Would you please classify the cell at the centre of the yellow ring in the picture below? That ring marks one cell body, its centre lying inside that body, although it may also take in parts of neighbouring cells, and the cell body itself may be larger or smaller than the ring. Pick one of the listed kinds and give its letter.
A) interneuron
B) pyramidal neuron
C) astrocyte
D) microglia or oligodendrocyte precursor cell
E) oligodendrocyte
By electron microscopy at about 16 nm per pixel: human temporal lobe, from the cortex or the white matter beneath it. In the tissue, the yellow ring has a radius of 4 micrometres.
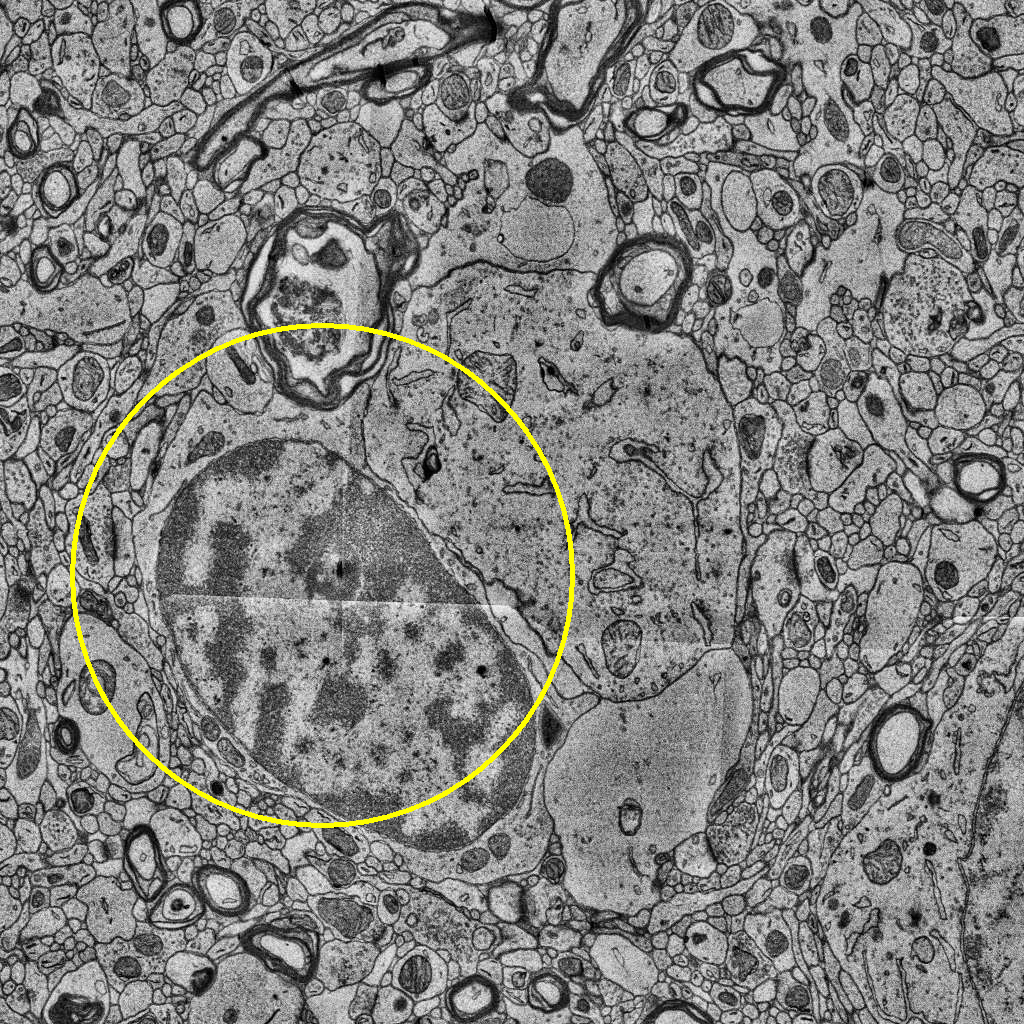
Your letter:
D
